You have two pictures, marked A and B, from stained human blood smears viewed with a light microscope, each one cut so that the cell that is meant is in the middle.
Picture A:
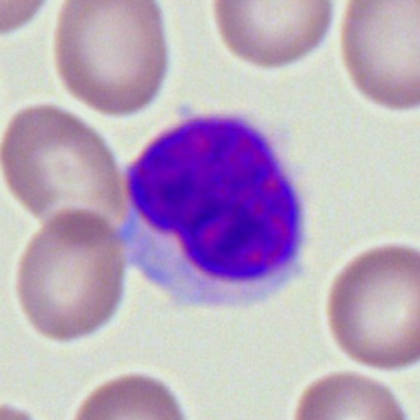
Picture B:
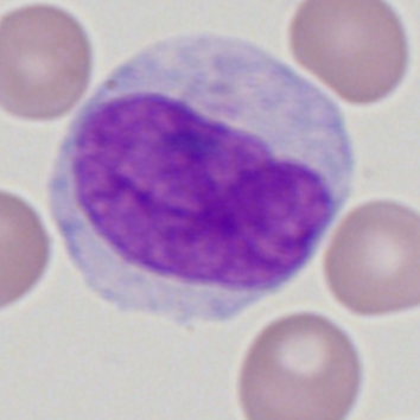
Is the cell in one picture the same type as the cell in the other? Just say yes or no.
no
